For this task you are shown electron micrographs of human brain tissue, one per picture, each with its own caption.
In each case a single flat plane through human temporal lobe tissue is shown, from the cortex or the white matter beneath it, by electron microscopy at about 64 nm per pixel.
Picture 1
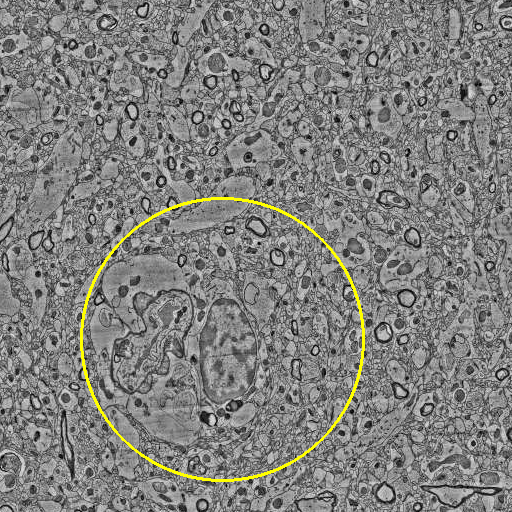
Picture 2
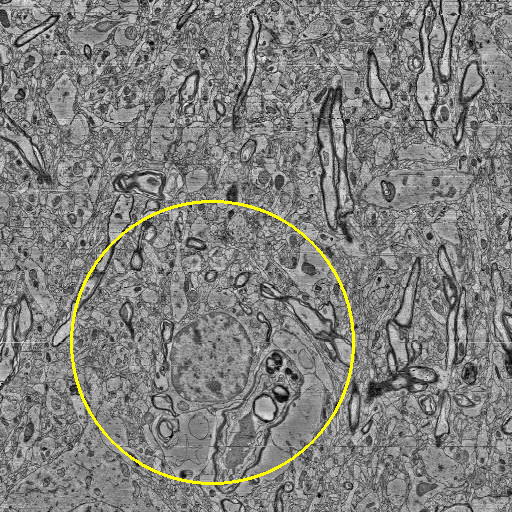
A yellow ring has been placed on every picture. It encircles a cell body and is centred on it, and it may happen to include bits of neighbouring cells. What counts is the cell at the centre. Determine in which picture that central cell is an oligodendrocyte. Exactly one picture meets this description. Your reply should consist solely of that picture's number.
2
